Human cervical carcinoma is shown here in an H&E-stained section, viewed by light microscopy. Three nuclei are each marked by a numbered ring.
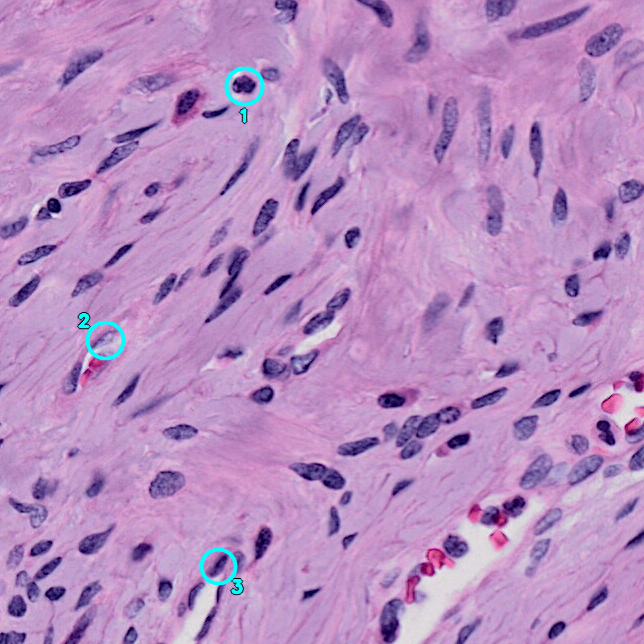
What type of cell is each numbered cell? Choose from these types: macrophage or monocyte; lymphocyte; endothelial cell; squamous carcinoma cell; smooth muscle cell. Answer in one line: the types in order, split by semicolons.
lymphocyte; endothelial cell; endothelial cell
